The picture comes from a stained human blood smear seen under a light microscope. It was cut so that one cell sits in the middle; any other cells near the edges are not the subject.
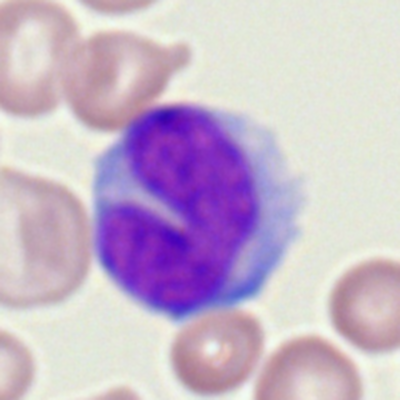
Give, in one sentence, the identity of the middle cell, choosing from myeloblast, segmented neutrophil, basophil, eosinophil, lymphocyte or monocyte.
The crop centres on a single cell, and that cell is a monocyte.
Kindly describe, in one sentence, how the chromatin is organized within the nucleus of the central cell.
The chromatin shows a fine pattern without coarse clumps.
